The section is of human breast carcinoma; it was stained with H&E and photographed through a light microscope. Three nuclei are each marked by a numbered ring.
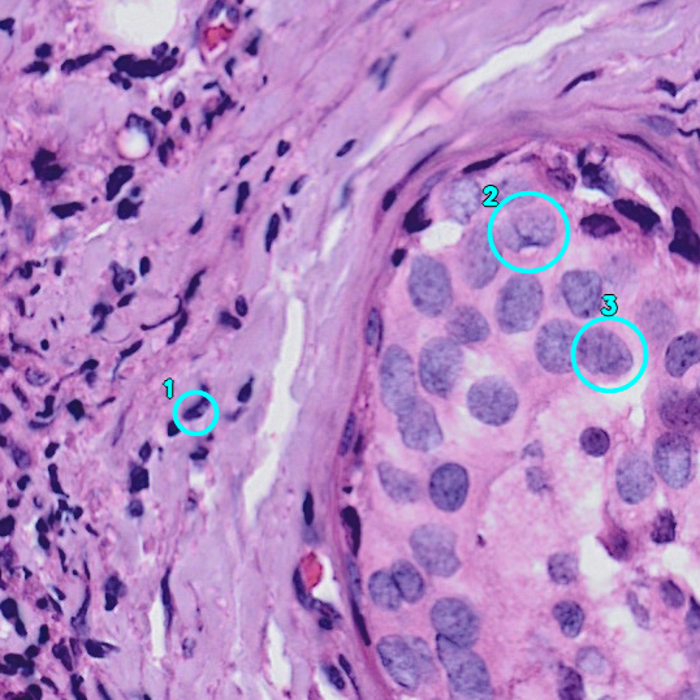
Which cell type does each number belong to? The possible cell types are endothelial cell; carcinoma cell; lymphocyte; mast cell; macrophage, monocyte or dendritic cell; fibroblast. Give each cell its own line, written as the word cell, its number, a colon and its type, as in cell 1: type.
cell 1: lymphocyte
cell 2: carcinoma cell
cell 3: carcinoma cell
